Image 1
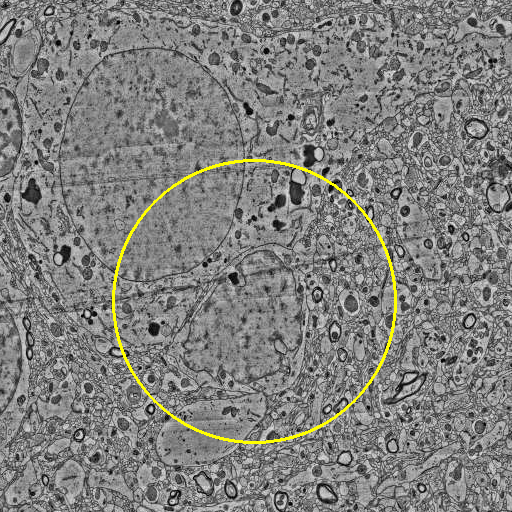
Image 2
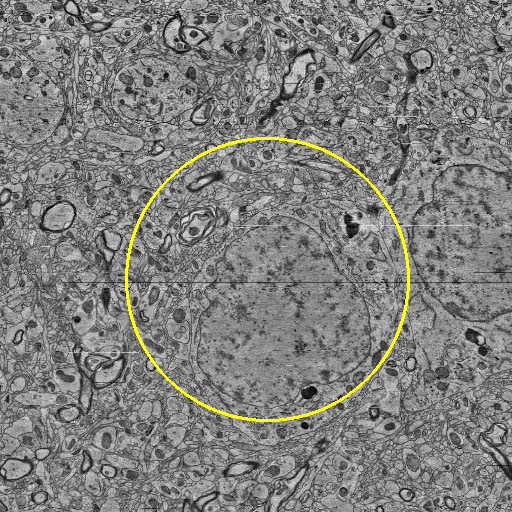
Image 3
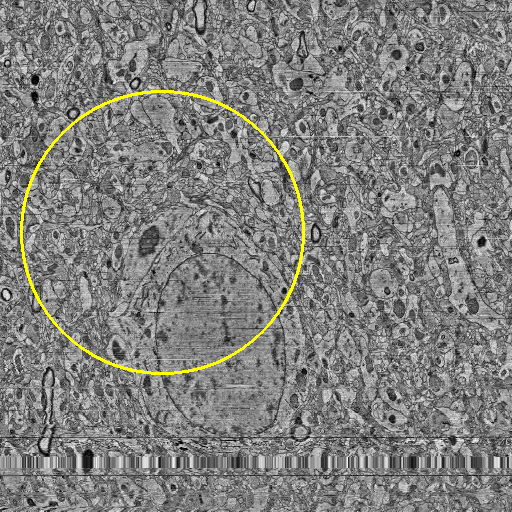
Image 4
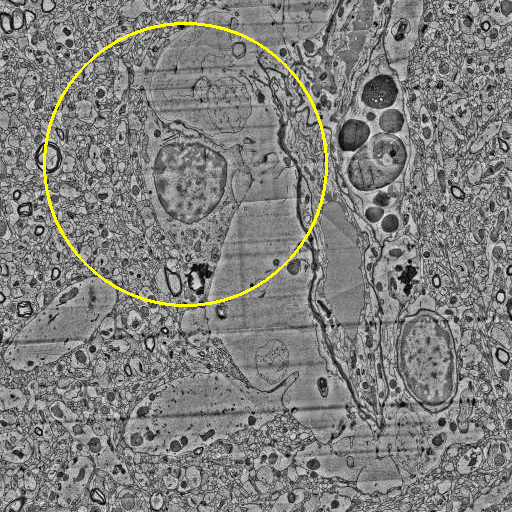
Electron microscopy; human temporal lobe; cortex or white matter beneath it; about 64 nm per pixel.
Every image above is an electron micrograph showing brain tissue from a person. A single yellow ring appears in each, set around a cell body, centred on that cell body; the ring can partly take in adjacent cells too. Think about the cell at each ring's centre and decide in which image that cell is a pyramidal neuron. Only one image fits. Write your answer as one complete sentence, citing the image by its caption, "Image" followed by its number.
Image 2 is the one whose ringed central cell fits the description.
